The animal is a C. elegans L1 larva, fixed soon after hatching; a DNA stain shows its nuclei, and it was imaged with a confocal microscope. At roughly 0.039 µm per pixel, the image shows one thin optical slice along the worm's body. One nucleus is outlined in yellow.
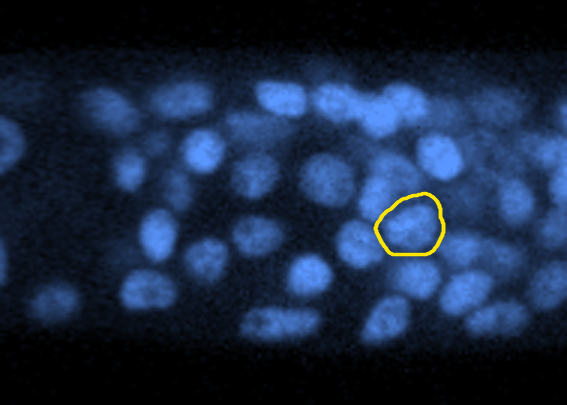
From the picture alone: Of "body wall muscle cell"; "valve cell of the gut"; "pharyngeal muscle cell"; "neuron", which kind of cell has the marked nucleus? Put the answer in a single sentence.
It is the nucleus of a pharyngeal muscle cell.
